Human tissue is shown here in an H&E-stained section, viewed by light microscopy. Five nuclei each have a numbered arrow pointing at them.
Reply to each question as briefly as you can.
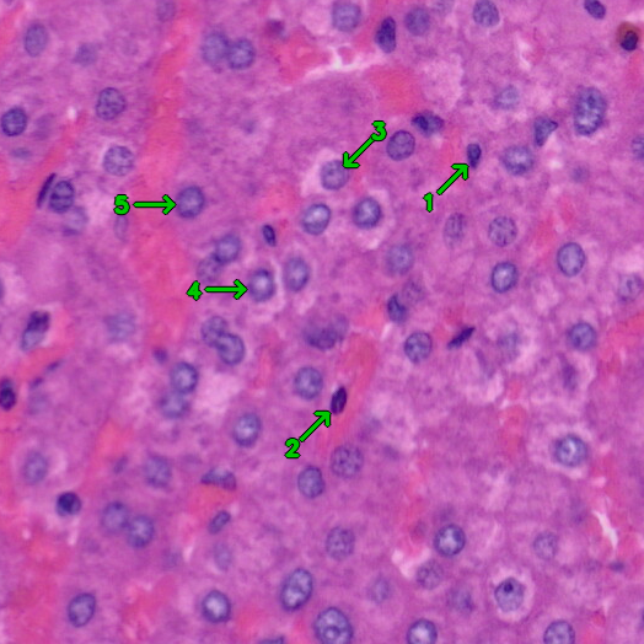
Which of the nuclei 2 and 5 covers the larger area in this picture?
5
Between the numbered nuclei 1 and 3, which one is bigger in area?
3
